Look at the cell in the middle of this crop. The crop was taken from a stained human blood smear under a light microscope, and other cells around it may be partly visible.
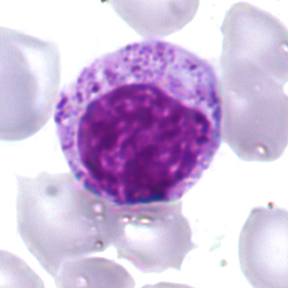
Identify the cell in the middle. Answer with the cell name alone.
myelocyte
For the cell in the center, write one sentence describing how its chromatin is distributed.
Heads up, the chromatin is fine with no coarse clumps in it.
